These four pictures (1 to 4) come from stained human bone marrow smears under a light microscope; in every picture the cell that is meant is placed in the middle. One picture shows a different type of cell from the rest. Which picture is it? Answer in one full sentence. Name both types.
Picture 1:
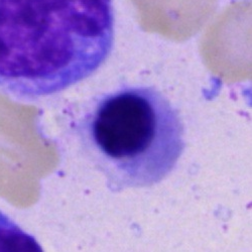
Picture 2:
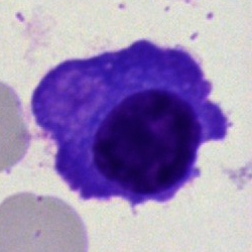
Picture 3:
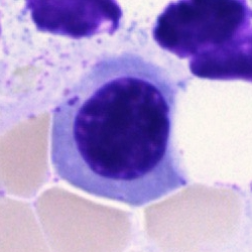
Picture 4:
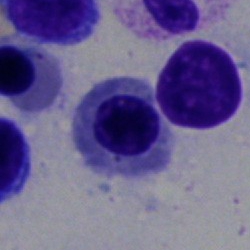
The different one is picture 2; it shows a plasma cell, whereas all the others show erythroblasts.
